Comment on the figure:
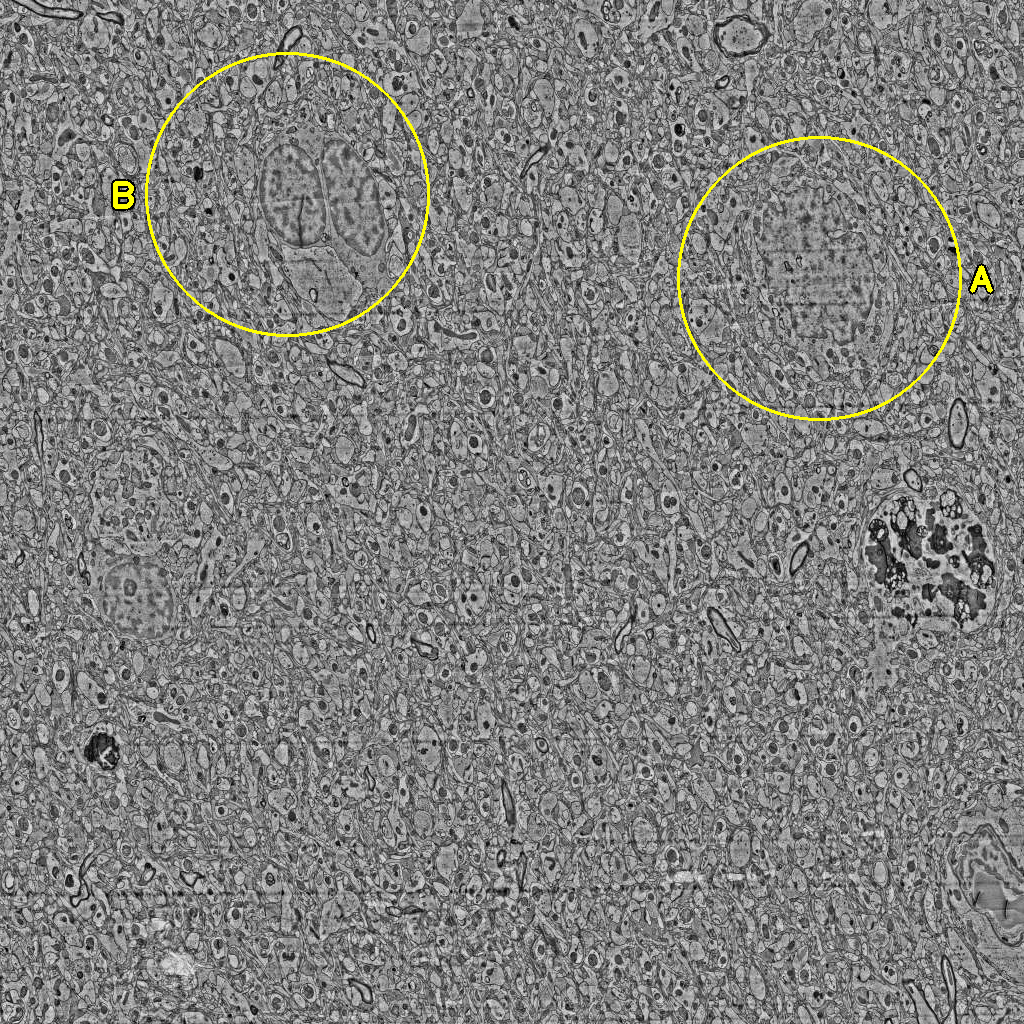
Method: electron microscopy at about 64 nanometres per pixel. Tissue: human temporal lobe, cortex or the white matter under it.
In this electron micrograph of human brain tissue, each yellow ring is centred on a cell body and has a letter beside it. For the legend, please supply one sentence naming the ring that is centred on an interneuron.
Ring A is centred on that cell.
